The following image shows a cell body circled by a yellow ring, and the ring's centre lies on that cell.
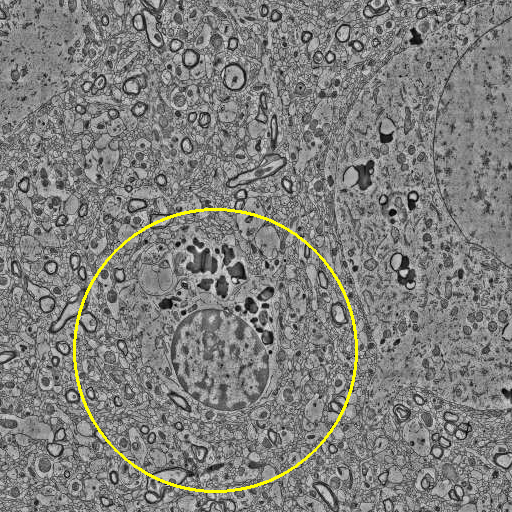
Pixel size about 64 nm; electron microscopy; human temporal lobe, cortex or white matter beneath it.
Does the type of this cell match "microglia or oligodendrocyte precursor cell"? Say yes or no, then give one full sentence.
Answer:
Yes, the type matches for the cell at the ring's centre in this picture.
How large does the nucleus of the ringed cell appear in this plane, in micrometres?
The nucleus works out at approximately 7 by 6 micrometres in this plane.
